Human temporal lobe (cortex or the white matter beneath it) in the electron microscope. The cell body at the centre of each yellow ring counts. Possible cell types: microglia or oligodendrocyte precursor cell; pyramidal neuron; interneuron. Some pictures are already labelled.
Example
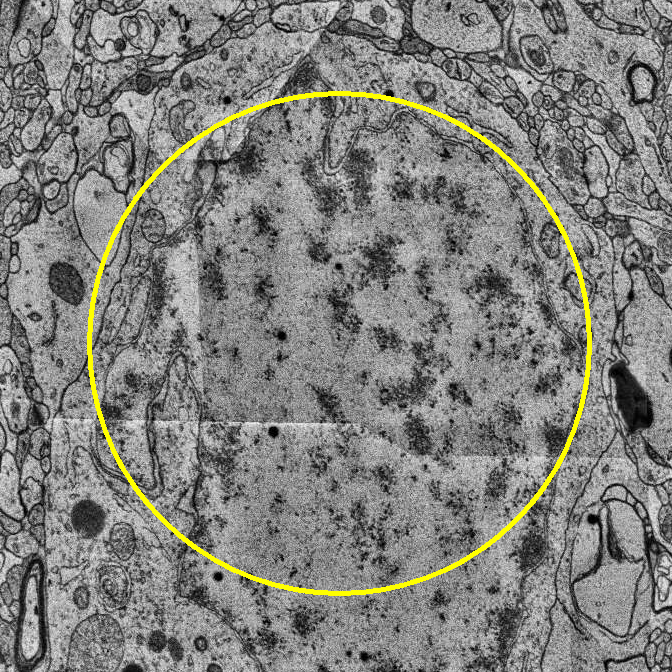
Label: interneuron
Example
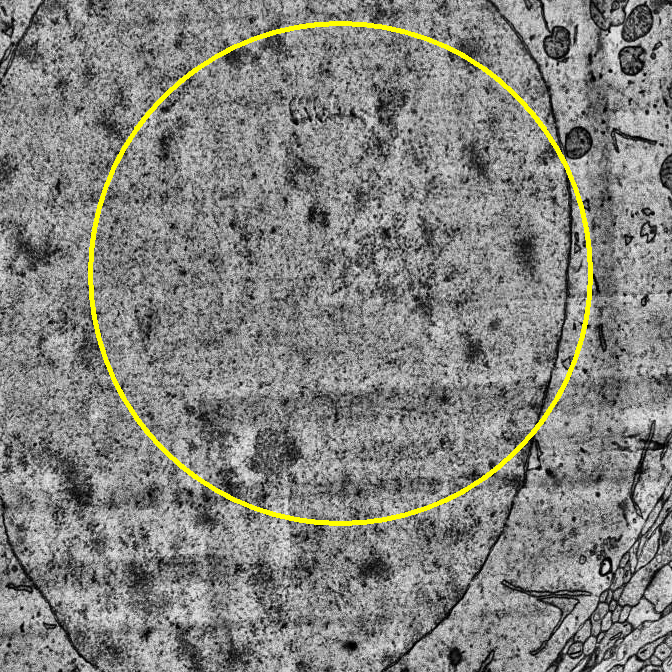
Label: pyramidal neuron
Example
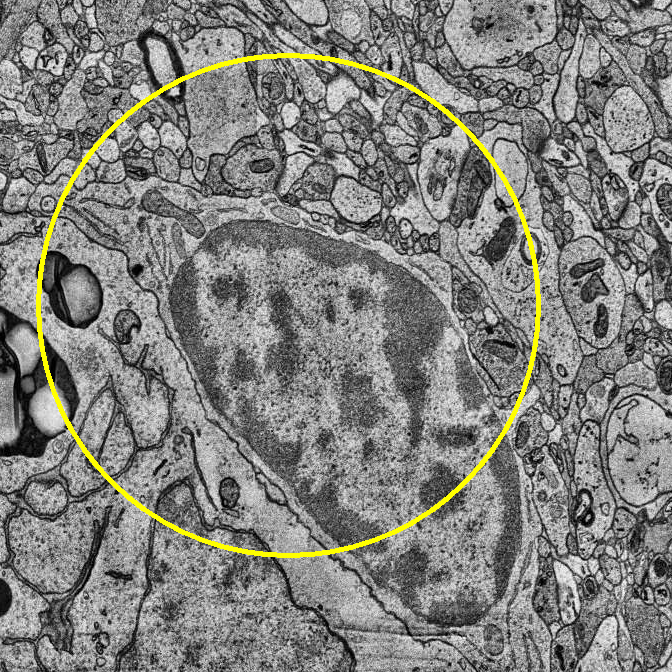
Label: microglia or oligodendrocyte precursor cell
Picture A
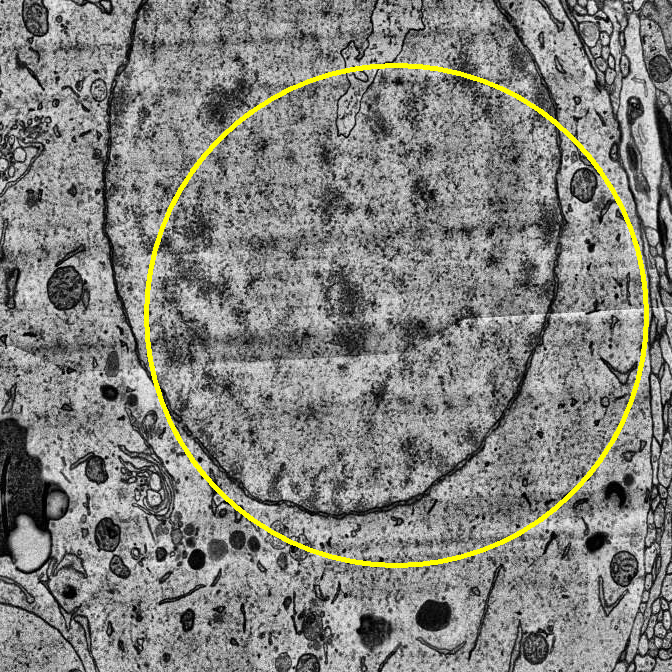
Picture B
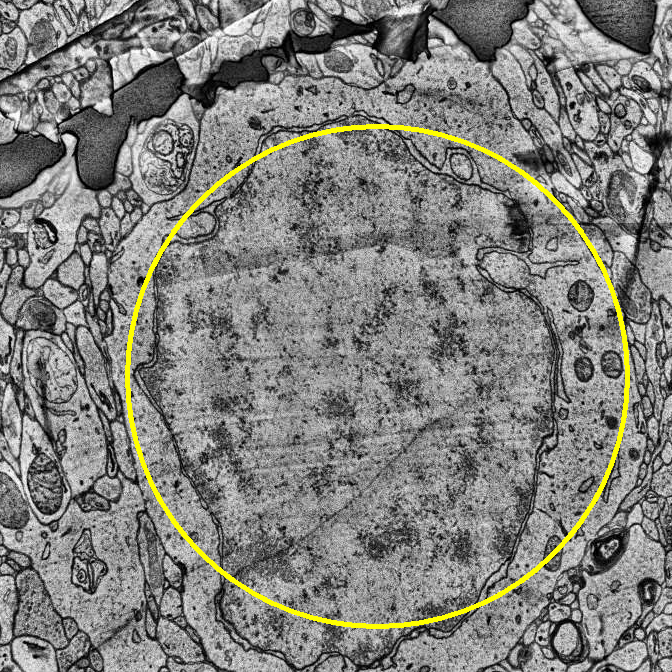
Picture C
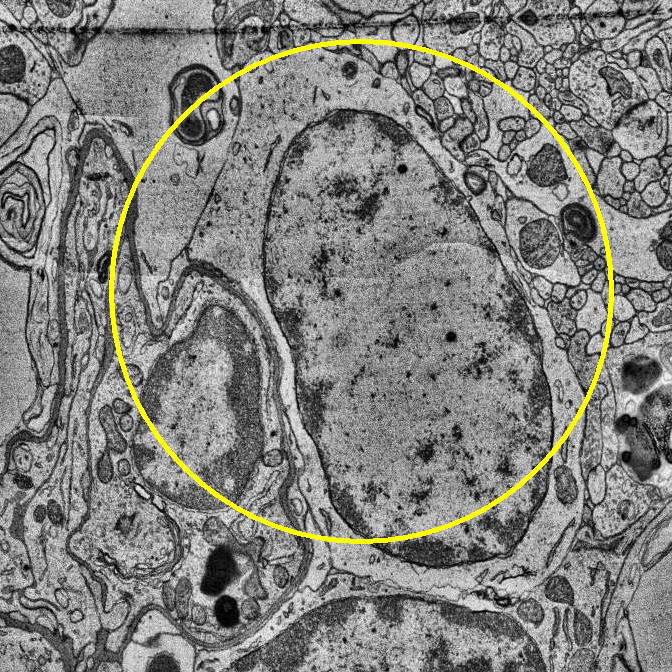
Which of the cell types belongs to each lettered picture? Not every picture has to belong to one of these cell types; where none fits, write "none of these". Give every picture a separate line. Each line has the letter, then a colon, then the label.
A: pyramidal neuron
B: interneuron
C: microglia or oligodendrocyte precursor cell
